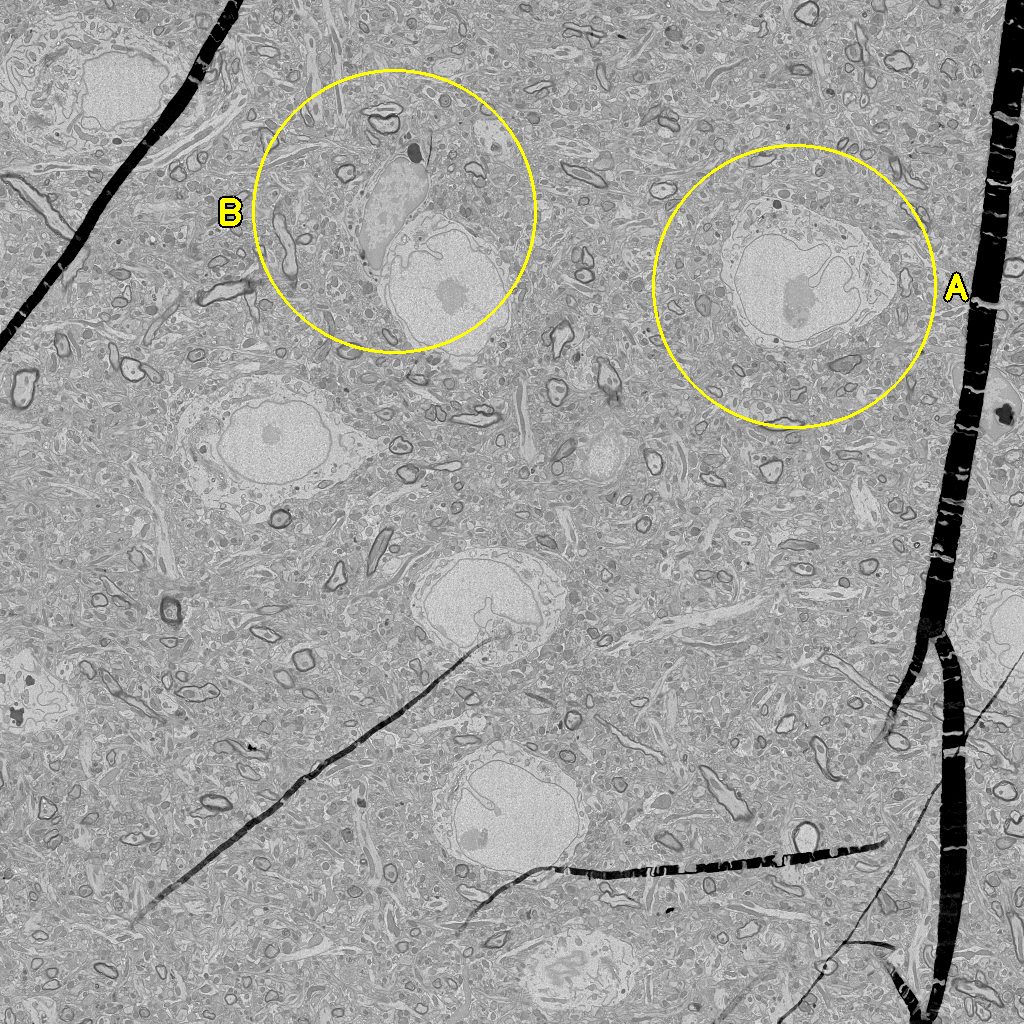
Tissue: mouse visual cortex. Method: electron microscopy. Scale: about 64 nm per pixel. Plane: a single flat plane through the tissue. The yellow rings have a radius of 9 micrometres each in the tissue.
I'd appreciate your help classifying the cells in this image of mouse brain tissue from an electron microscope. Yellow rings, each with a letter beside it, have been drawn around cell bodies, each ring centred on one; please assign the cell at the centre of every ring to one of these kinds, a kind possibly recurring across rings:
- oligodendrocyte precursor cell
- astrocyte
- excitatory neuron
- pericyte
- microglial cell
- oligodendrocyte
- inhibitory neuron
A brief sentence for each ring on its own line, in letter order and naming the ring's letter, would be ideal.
In ring A, the central cell is an excitatory neuron.
In ring B, the central cell is a microglial cell.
